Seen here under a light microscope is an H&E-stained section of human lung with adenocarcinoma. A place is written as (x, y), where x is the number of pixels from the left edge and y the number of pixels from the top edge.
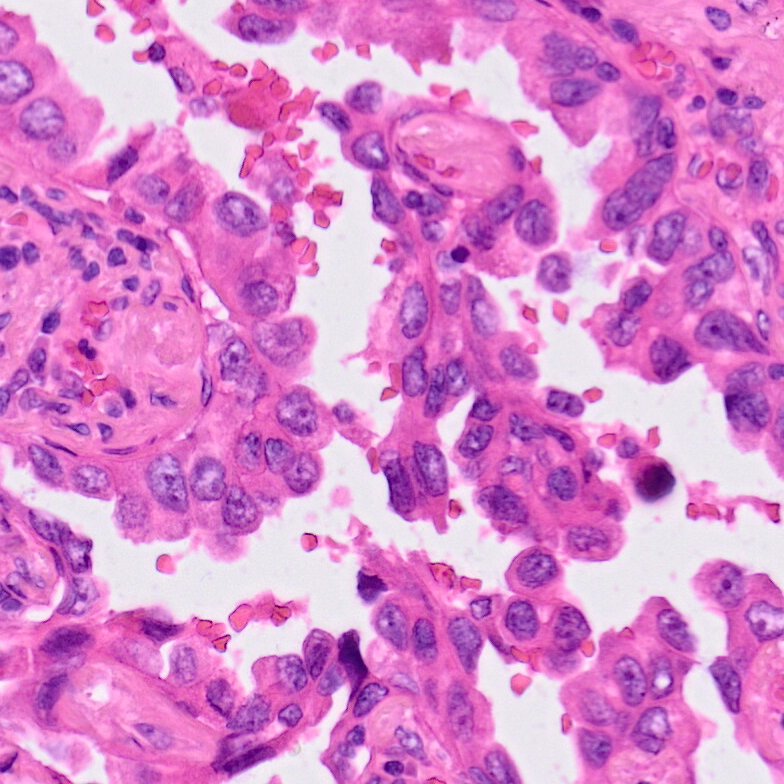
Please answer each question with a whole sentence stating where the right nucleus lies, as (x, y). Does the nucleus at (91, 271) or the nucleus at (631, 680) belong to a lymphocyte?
As for which of the two, the nucleus at (91, 271) belongs to a lymphocyte.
